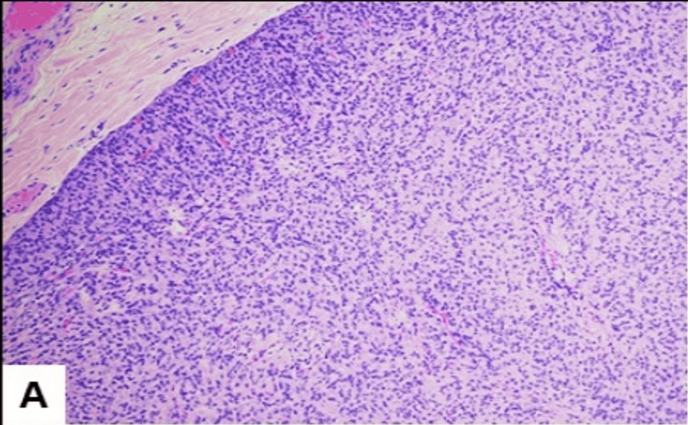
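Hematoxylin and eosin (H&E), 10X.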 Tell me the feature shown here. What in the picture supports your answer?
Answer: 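A sharp, smooth border separates the cellular lesion from pink fibrous tissue at the upper left. The densely cellular area fills most of the panel.
Well-circumscribed nodule.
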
